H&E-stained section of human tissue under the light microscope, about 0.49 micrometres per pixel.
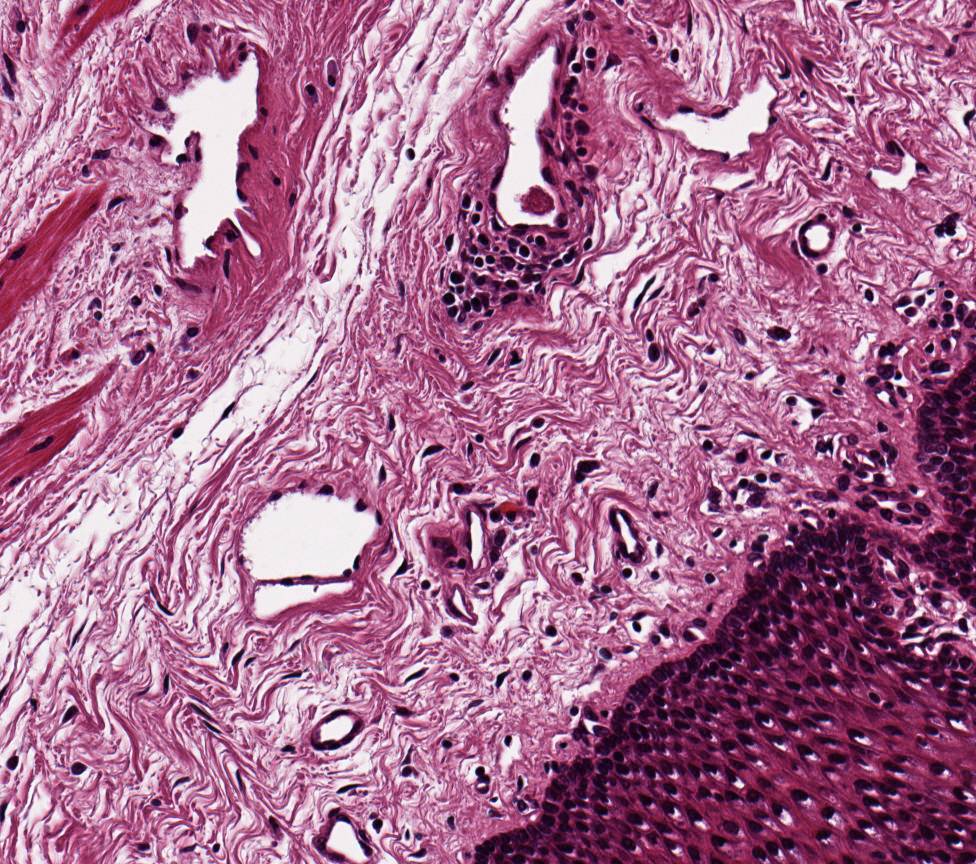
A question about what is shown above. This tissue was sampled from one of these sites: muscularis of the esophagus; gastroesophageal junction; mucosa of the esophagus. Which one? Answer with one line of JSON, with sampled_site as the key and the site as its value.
{"sampled_site": "mucosa of the esophagus"}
